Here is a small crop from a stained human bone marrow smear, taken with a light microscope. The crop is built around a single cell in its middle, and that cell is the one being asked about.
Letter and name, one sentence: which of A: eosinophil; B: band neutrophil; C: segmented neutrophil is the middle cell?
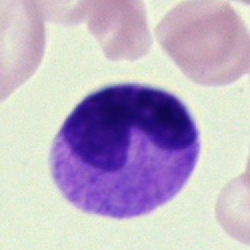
The central cell in this crop is a band neutrophil, so the correct choice is option B.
